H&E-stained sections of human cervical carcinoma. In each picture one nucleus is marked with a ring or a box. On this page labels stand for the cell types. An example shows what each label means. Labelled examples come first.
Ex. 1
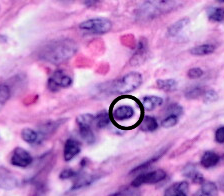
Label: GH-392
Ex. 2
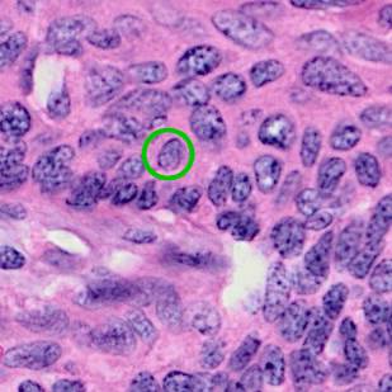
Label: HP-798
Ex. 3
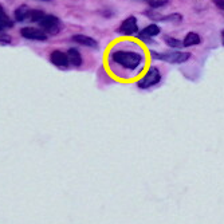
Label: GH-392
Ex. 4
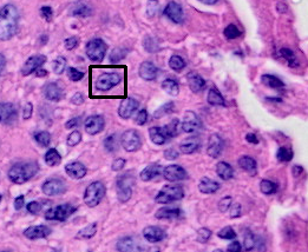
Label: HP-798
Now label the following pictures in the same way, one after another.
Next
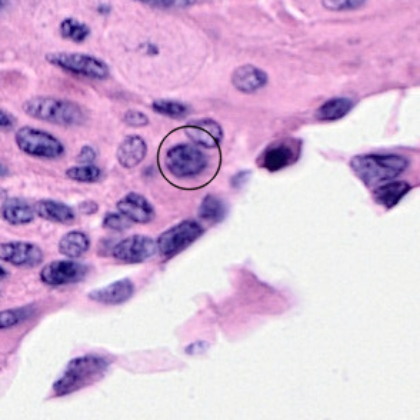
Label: HP-798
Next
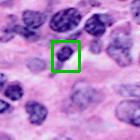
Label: GH-392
